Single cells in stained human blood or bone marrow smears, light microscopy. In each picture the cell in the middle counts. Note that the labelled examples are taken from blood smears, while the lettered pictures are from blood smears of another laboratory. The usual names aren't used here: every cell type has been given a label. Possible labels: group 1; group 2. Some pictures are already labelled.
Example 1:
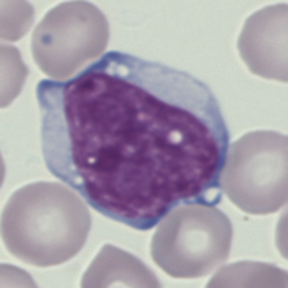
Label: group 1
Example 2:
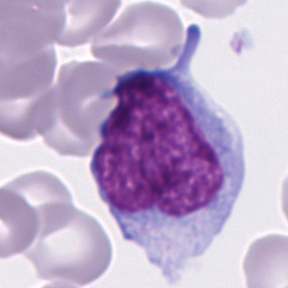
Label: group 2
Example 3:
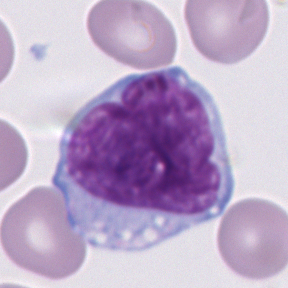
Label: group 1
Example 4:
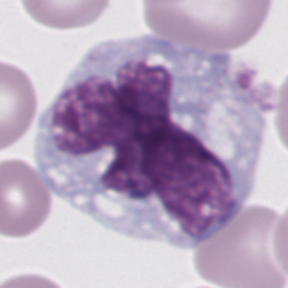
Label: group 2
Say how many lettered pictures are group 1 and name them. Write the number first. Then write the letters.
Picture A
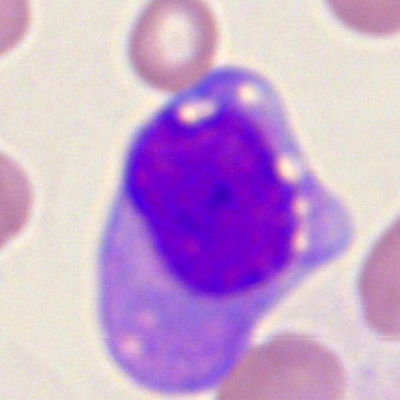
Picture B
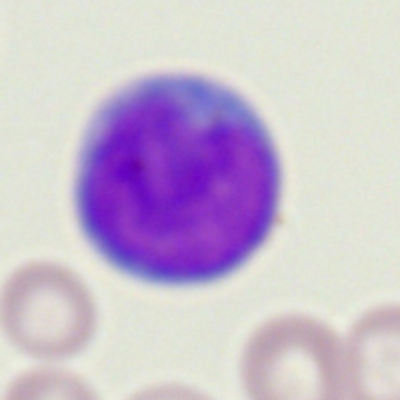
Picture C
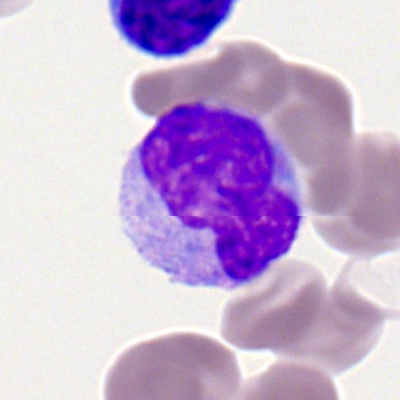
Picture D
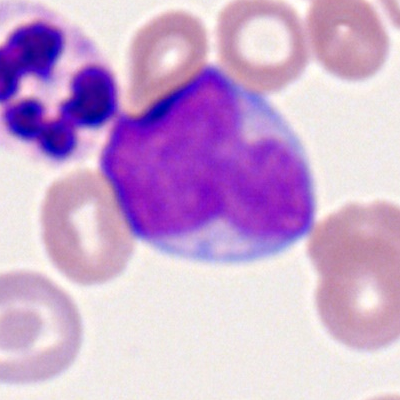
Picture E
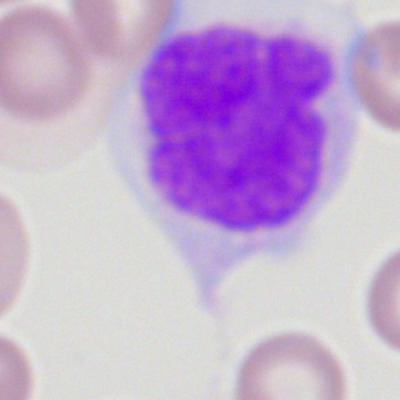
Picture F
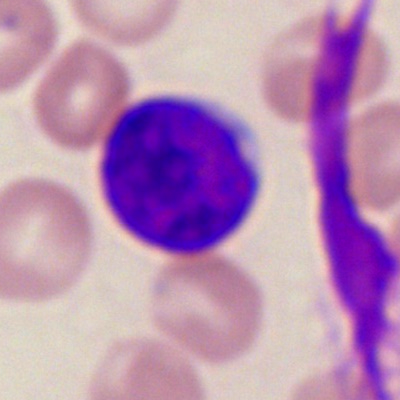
3, namely B, D, F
